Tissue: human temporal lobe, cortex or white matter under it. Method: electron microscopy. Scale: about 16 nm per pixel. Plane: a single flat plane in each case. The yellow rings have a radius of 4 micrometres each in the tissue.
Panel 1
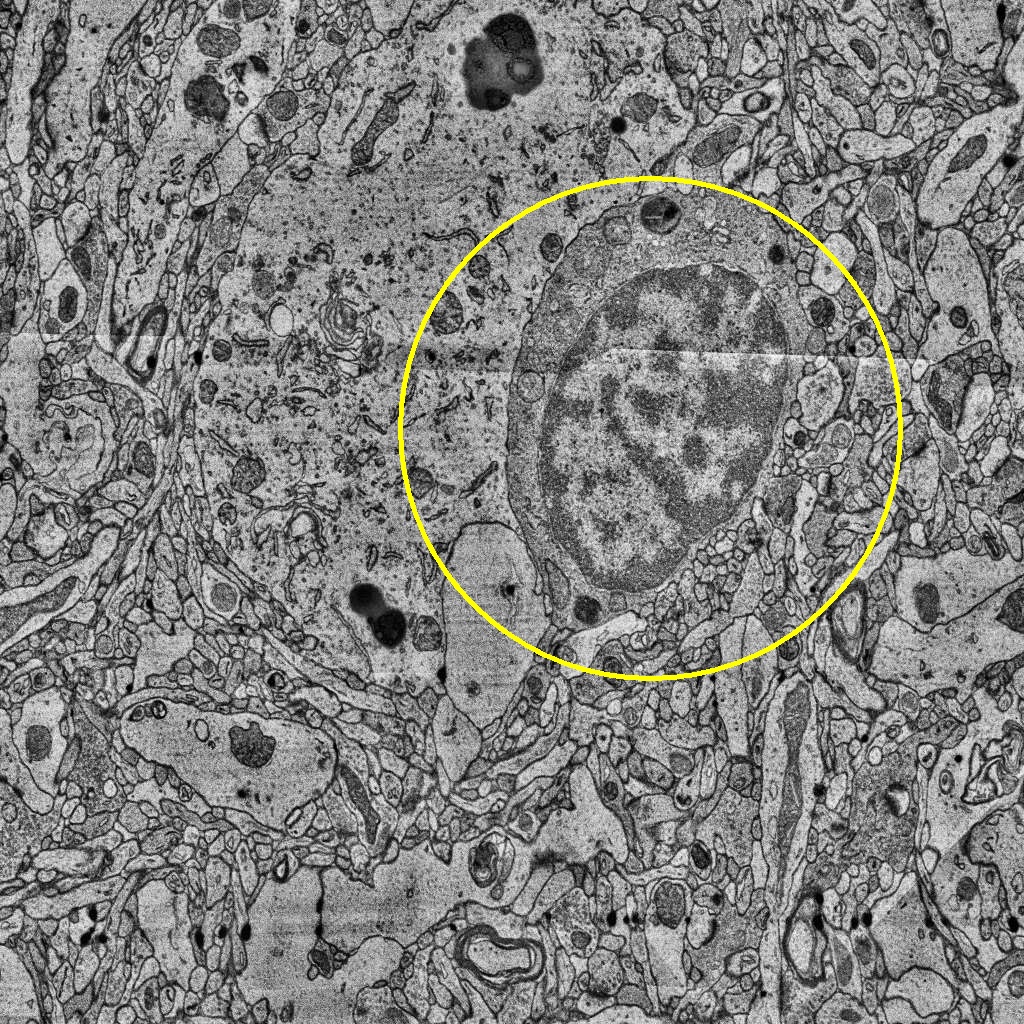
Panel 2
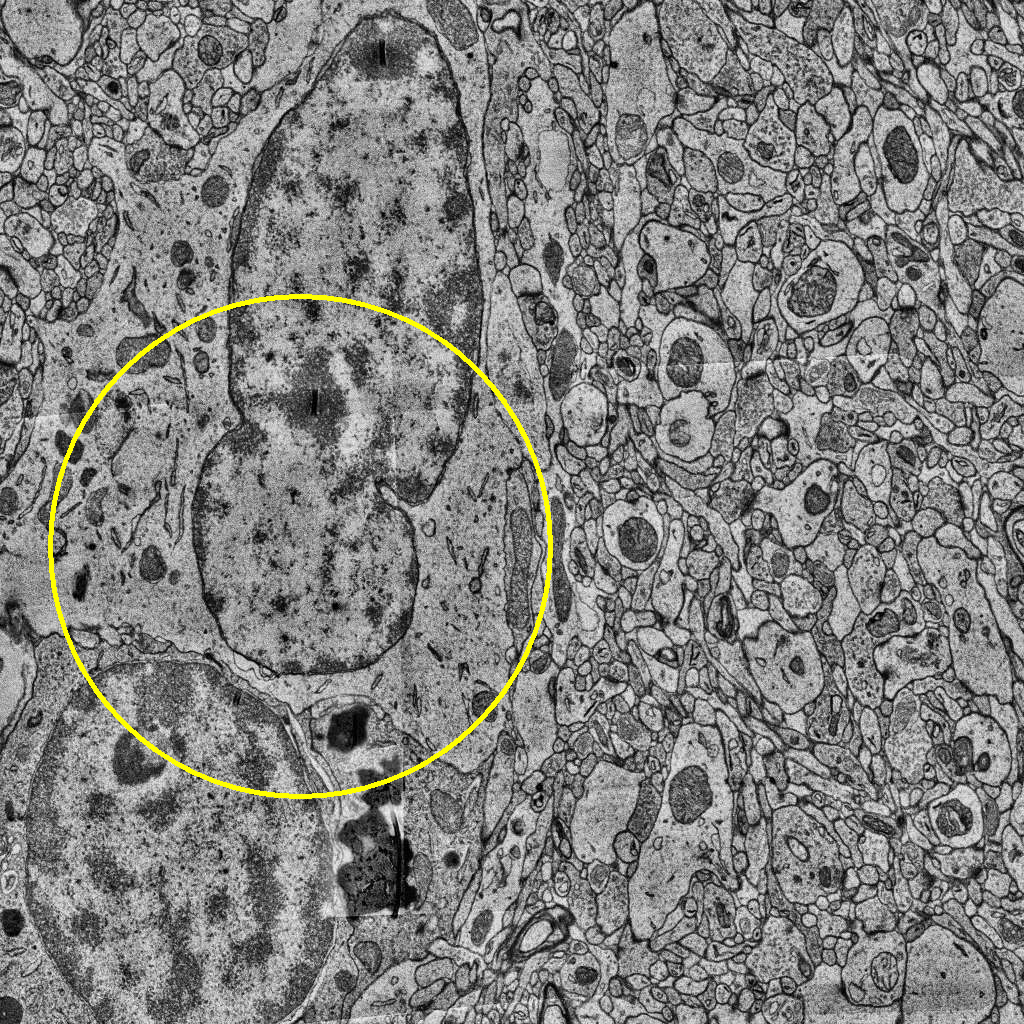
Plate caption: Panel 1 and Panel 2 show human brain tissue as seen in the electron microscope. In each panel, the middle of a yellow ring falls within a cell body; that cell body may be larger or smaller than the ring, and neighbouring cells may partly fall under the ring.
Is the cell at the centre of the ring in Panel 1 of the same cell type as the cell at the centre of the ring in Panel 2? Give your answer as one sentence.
No, the two cells are of two types.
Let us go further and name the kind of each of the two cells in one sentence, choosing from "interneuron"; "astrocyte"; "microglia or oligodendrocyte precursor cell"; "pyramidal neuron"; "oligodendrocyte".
The first picture shows an oligodendrocyte at the ring centre and the second shows a microglial cell or oligodendrocyte precursor cell.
